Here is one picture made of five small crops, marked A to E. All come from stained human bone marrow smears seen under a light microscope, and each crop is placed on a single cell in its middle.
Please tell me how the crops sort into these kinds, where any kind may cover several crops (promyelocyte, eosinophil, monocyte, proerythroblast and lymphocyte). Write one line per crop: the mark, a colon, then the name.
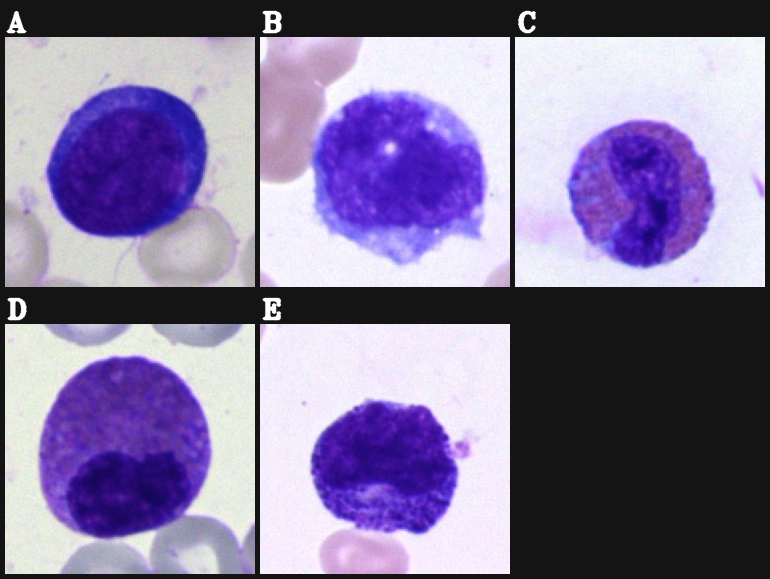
A: proerythroblast
B: monocyte
C: eosinophil
D: eosinophil
E: promyelocyte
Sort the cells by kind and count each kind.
eosinophil: 2
proerythroblast: 1
monocyte: 1
promyelocyte: 1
